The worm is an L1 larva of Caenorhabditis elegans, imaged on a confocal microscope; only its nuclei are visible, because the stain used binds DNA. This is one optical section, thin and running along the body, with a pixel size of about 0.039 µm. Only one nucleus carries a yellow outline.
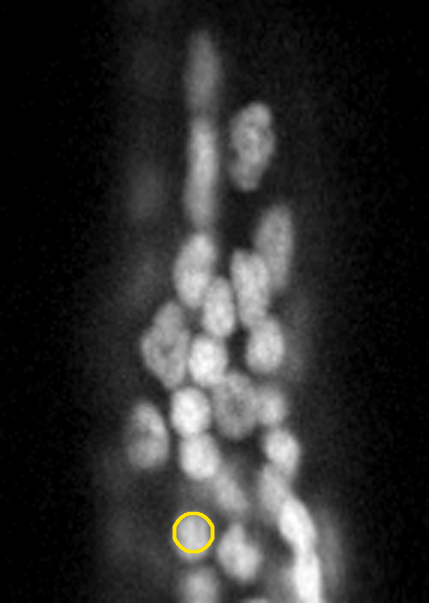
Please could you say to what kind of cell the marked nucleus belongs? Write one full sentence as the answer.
The marked cell is a neuron.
